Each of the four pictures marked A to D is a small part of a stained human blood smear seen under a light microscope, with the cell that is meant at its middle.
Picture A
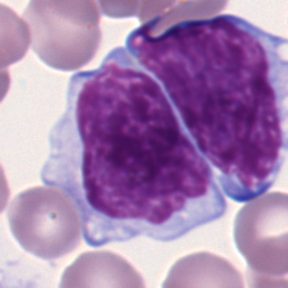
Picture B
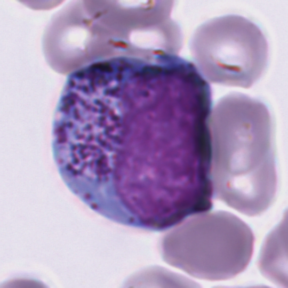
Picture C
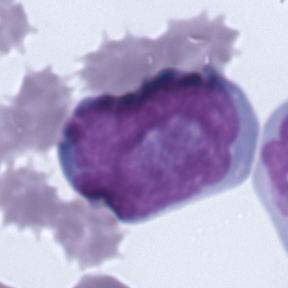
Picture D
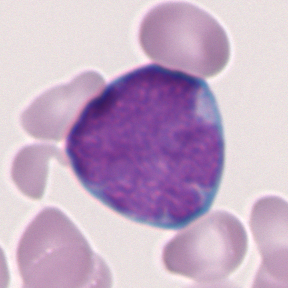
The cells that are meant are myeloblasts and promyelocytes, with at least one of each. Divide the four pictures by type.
A: myeloblast
B: promyelocyte
C: myeloblast
D: myeloblast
